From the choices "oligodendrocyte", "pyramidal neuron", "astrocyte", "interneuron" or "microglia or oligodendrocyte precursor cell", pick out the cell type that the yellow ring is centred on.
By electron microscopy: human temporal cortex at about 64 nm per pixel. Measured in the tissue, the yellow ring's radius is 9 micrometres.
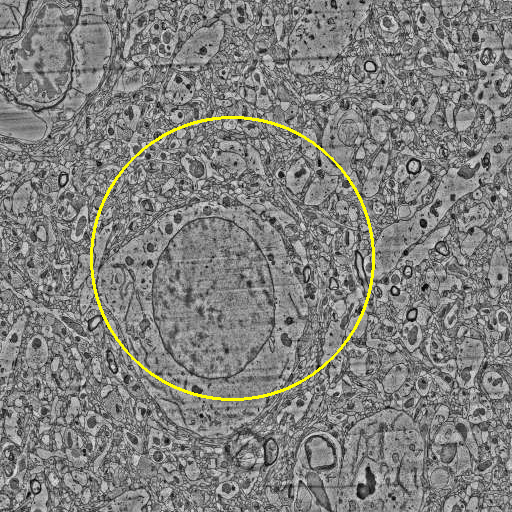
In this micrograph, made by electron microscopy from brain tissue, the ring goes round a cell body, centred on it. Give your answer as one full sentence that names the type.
The yellow ring is centred on a pyramidal neuron, whose cell body it encircles in the picture.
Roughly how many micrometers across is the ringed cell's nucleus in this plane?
The nucleus works out at approximately 11 by 8 micrometres in this plane.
